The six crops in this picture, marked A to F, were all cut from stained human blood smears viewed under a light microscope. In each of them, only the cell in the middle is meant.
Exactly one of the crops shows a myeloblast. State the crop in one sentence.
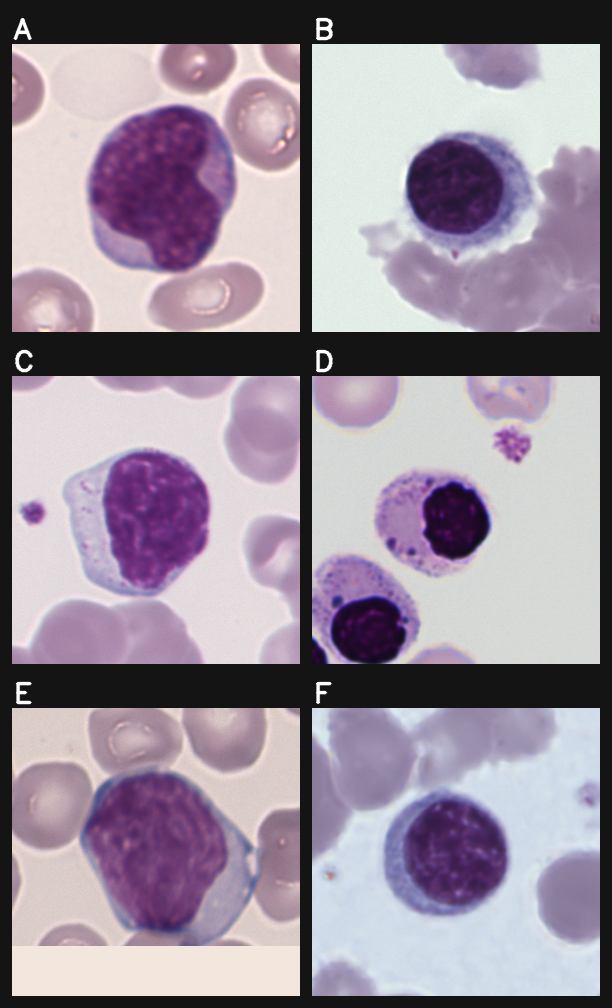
Among the crops given, only crop E shows a myeloblast.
